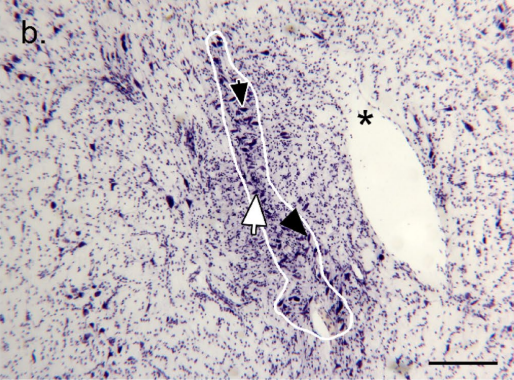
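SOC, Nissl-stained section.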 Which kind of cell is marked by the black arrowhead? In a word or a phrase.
fusiform cell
